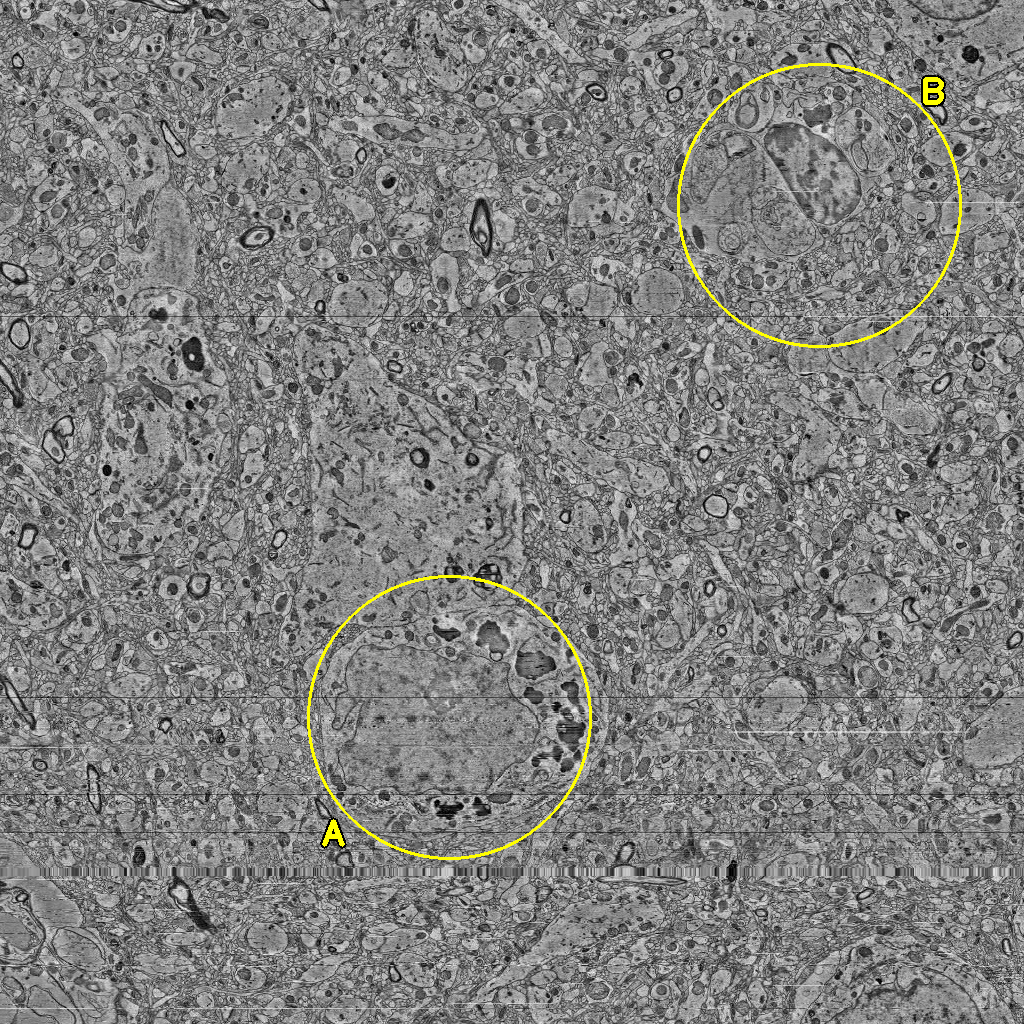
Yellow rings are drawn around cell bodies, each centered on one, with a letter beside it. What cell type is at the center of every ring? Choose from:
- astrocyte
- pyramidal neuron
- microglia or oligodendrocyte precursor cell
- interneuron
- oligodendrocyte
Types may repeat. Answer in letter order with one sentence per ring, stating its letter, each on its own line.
The cell at the center of ring A is an interneuron.
The cell at the center of ring B is a microglial cell or oligodendrocyte precursor cell.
